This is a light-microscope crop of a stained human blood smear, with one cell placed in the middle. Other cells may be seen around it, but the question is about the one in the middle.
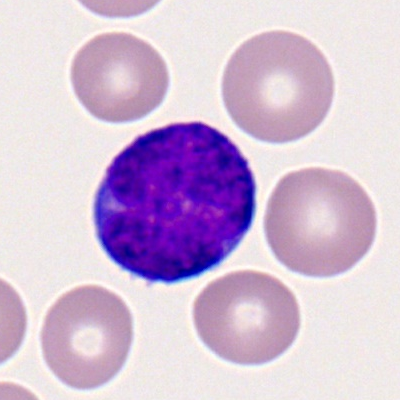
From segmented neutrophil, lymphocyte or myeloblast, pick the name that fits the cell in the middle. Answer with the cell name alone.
myeloblast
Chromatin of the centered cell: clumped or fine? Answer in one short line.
Its chromatin is clumped in a coarse pattern.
